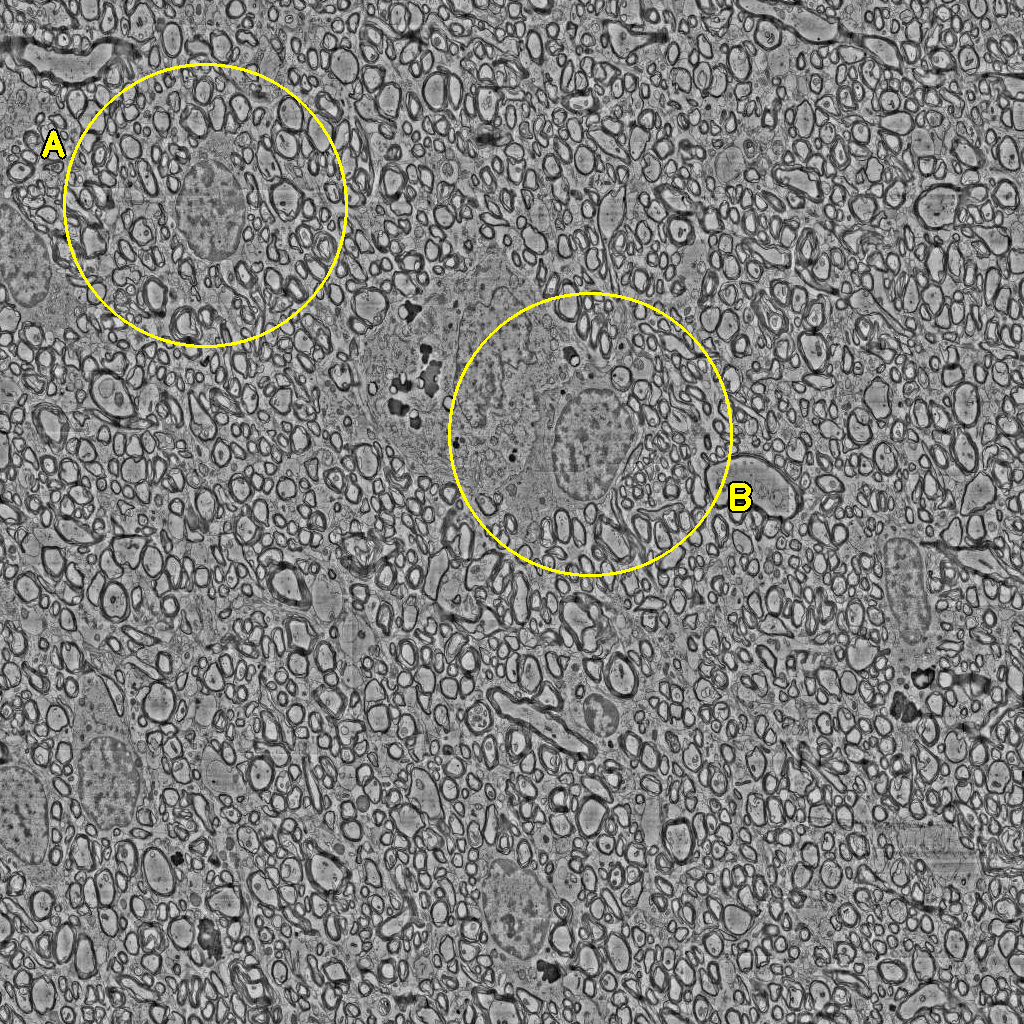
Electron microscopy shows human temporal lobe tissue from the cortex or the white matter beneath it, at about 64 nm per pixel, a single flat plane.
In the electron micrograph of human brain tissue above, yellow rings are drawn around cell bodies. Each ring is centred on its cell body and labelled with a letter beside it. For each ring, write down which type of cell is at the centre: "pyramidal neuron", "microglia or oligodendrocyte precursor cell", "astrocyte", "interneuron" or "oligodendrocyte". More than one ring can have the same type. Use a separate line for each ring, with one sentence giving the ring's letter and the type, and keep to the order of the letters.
At the centre of ring A there is an oligodendrocyte.
At the centre of ring B there is an oligodendrocyte.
